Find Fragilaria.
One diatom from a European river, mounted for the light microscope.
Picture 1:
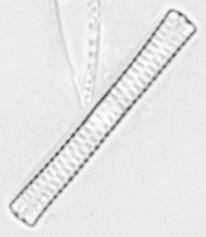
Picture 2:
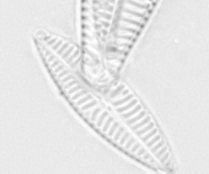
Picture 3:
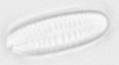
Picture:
1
